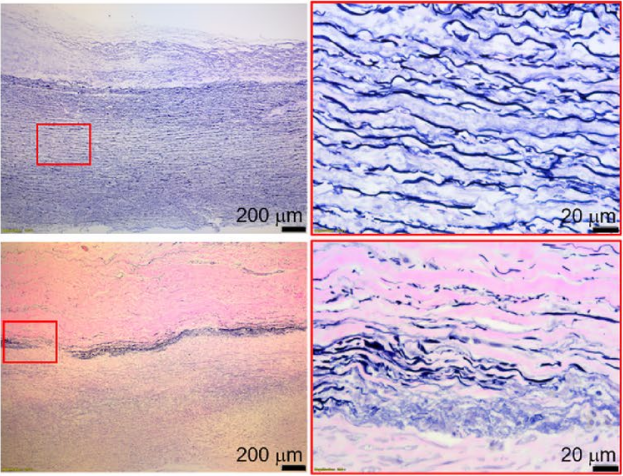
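Aortic wall stained so that elastic fibres appear black against a blue-grey or pink background, shown at low power with enlarged fields. In the upper row the wall is evenly layered, and the enlargement shows many thin, wavy black elastic lamellae running parallel and regularly spaced. In the lower row the wall is largely pink, with black fibres confined mainly to one irregular band; enlarged, those fibres are short, fragmented and disordered, separated by pink, homogeneous material, and much of the wall lacks black lamellae altogether.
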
